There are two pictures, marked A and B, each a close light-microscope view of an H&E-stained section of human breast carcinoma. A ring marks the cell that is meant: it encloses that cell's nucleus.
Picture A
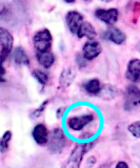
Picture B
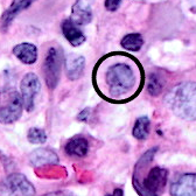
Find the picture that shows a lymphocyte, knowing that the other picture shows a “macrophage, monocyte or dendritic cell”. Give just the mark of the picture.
A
